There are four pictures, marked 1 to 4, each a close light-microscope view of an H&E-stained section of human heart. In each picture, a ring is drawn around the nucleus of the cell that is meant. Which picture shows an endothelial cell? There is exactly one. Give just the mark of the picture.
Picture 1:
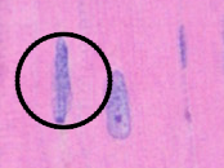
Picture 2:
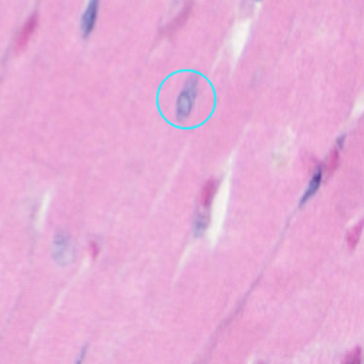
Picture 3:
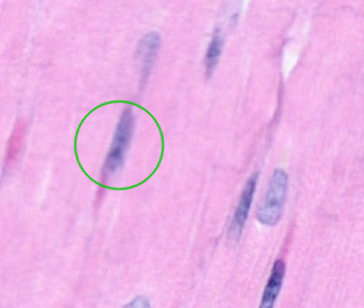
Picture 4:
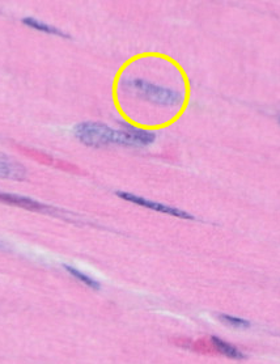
3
